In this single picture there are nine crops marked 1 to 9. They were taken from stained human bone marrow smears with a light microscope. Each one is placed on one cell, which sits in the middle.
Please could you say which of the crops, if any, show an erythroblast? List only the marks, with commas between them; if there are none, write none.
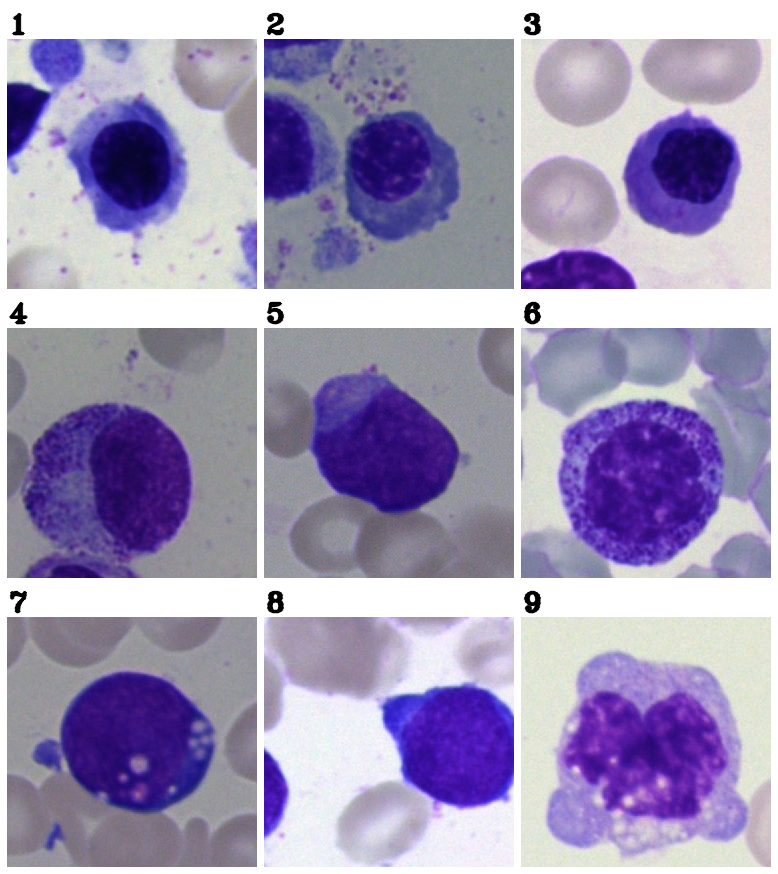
1, 2, 3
